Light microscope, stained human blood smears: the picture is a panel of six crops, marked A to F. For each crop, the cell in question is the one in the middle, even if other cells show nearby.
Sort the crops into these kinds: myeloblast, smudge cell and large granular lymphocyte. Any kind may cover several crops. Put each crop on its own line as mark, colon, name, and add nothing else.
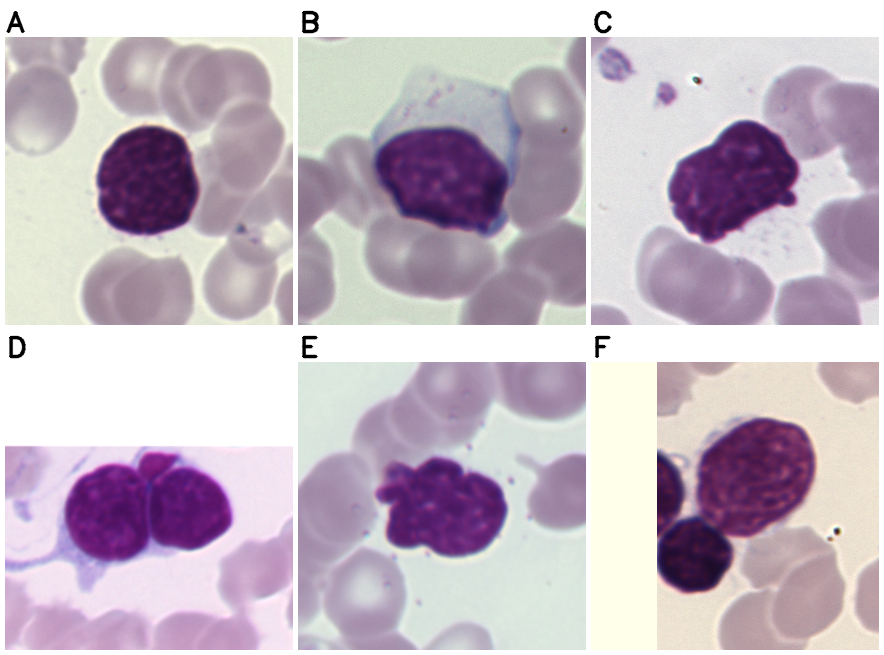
A: smudge cell
B: large granular lymphocyte
C: smudge cell
D: myeloblast
E: smudge cell
F: myeloblast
